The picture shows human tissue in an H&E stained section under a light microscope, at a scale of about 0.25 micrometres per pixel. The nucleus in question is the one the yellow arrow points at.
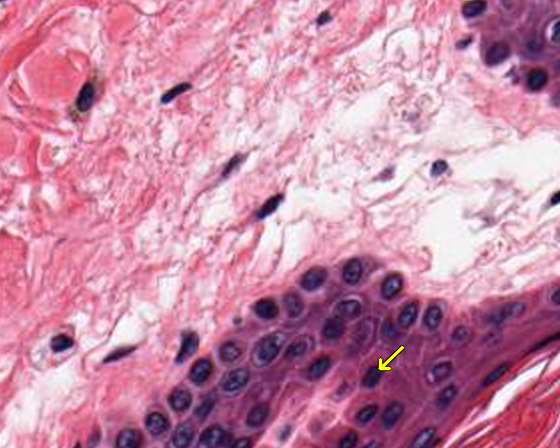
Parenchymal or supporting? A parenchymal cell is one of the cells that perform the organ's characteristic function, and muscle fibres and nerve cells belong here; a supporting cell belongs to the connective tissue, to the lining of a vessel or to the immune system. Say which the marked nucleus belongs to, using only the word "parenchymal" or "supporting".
parenchymal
